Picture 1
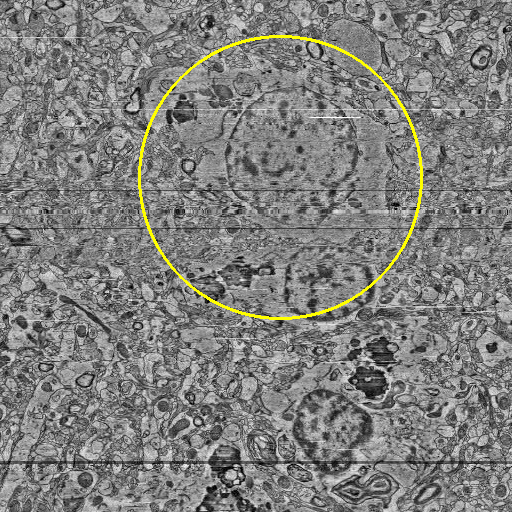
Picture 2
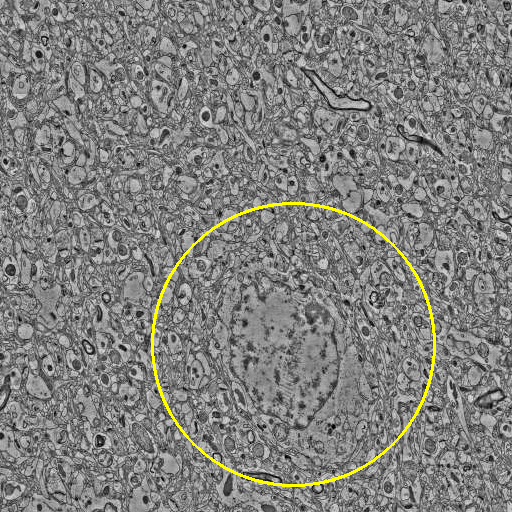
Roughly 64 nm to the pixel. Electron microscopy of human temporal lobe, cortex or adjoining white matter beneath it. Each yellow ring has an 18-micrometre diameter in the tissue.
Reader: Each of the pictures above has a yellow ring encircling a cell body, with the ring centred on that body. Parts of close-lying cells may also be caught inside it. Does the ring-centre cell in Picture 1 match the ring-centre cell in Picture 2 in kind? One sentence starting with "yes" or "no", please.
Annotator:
No, Picture 1 and Picture 2 show ring-centre cells of two kinds.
